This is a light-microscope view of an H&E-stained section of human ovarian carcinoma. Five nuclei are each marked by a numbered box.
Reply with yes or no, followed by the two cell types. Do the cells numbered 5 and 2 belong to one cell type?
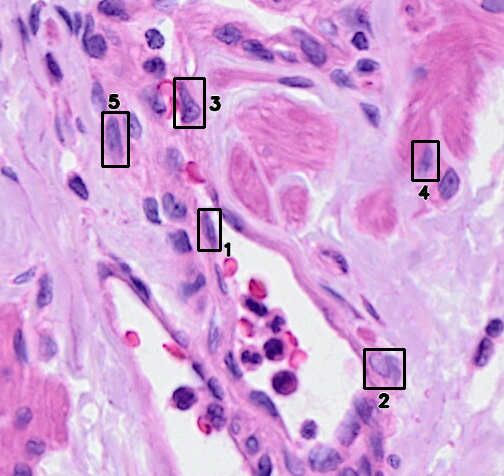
No, what is marked as cell 5 is an endothelial cell, and what is marked as cell 2 is a fibroblast.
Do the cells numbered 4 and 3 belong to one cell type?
No, the cell bearing number 4 is a smooth muscle cell, while the one bearing number 3 is an endothelial cell.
